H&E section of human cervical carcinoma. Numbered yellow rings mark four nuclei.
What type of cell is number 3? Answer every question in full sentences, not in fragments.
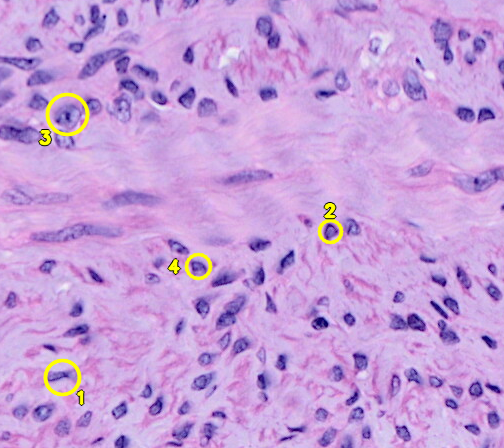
Heads up, the cell numbered 3 is an endothelial cell.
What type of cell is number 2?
Among the marked cells, number 2 is a smooth muscle cell.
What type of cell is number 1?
Among the marked cells, number 1 is a smooth muscle cell.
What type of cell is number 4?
Belonging to a smooth muscle cell is the nucleus that carries the number 4.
